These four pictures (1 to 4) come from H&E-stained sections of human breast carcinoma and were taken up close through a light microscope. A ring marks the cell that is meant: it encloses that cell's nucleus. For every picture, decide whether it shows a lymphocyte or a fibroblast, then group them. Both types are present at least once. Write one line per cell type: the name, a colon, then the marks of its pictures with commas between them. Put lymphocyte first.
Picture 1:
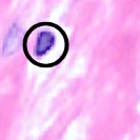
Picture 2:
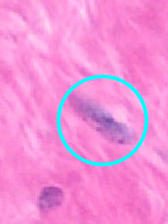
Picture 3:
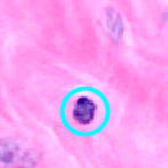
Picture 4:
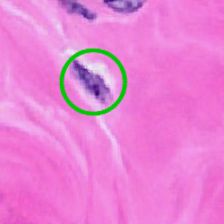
lymphocyte: 1, 3
fibroblast: 2, 4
